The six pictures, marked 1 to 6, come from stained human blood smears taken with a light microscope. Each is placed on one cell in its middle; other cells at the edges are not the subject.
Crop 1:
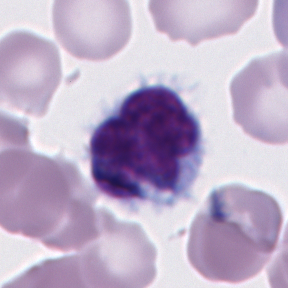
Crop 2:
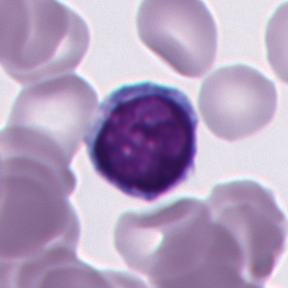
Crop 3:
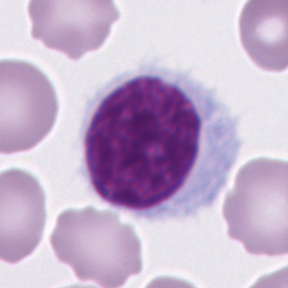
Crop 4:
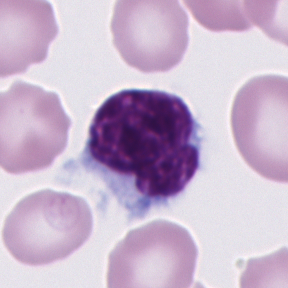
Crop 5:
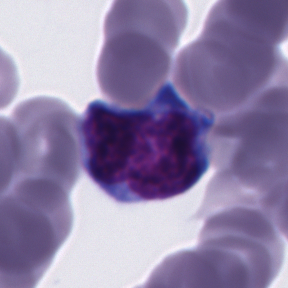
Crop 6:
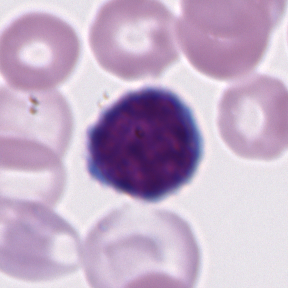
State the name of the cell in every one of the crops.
1: hairy cell
2: typical lymphocyte
3: hairy cell
4: hairy cell
5: typical lymphocyte
6: typical lymphocyte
